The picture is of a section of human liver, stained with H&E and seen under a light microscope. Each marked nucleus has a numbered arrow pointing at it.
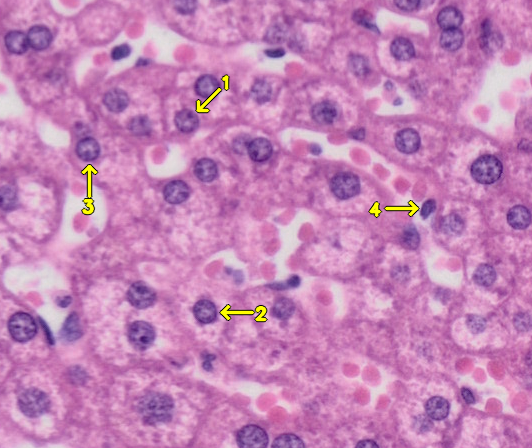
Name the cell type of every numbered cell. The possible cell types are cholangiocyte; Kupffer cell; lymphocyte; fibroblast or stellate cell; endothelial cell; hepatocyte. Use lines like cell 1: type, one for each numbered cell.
cell 1: hepatocyte
cell 2: hepatocyte
cell 3: hepatocyte
cell 4: lymphocyte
